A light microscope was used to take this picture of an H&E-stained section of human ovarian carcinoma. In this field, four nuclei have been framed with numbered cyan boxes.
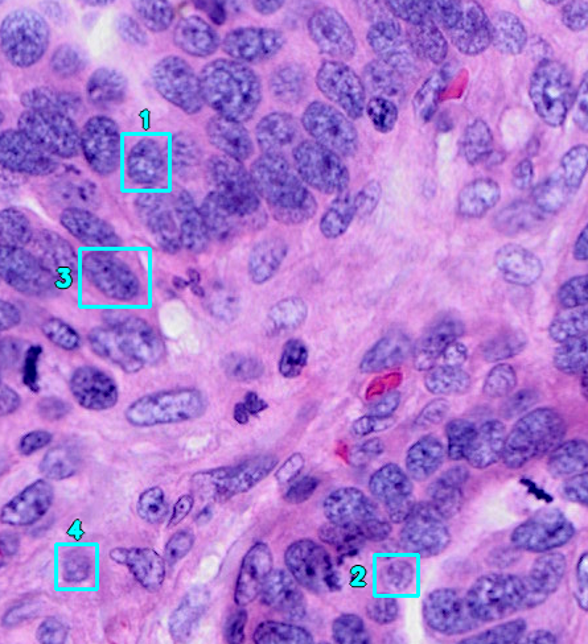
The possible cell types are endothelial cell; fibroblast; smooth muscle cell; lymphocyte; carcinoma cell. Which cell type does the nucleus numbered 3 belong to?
carcinoma cell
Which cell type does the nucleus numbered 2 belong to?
carcinoma cell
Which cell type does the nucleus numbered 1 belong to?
carcinoma cell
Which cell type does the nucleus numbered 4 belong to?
fibroblast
